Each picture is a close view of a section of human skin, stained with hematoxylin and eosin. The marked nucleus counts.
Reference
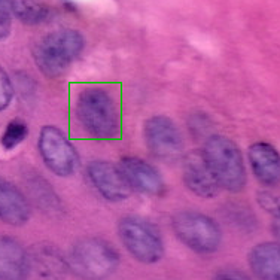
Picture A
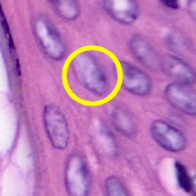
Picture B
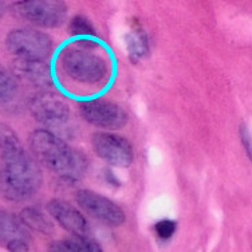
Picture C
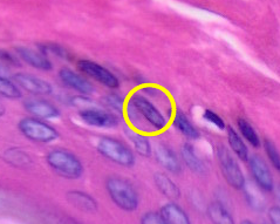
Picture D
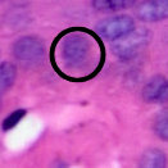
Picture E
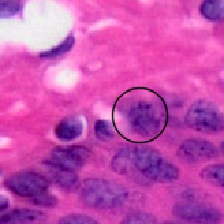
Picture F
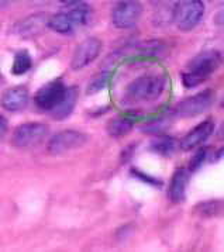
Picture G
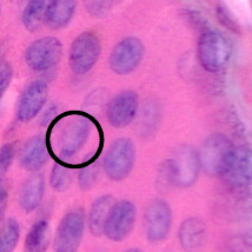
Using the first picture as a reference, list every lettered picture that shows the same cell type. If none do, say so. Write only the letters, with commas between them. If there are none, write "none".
B, C, D, E, F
